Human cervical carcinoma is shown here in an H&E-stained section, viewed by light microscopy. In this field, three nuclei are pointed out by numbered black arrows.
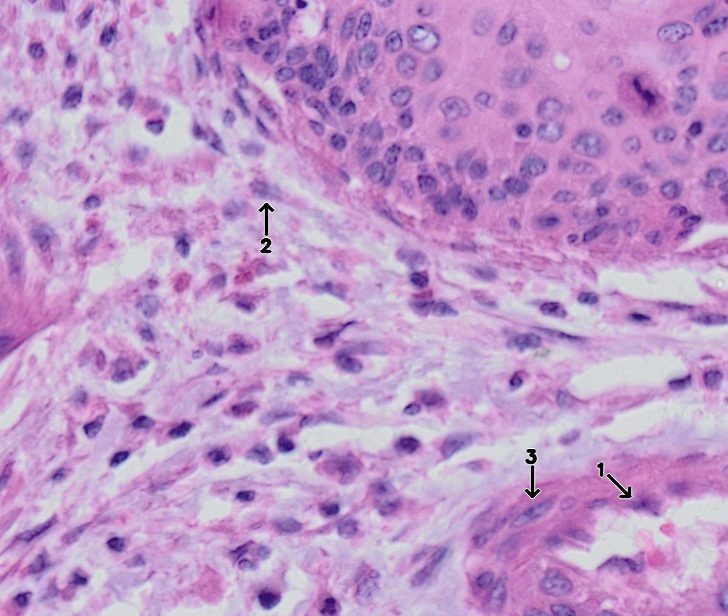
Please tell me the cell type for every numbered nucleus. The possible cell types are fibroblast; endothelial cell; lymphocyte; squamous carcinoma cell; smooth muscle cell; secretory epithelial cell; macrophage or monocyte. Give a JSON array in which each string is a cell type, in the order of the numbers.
["endothelial cell", "fibroblast", "smooth muscle cell"]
